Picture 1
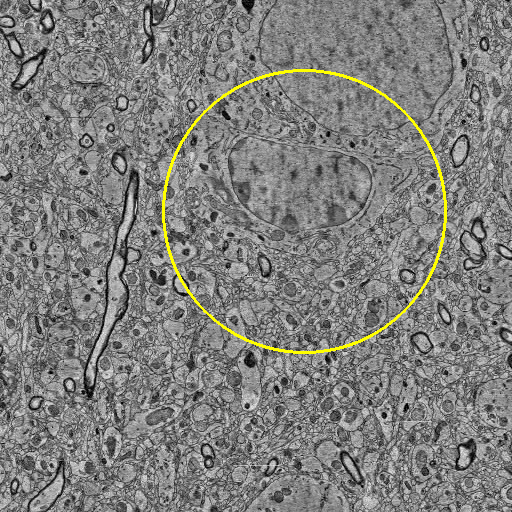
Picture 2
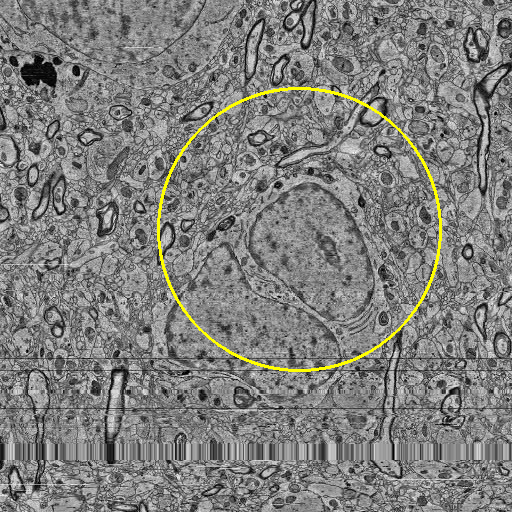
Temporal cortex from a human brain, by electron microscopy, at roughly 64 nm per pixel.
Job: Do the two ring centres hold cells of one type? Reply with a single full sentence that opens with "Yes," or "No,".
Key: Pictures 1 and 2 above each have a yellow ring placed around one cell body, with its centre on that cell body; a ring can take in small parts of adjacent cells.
Yes, the cells at the two ring centres are of one single type.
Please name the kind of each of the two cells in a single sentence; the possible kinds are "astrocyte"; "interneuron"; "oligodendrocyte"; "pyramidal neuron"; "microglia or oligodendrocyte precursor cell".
Both the first and the second picture show a microglial cell or oligodendrocyte precursor cell in the ring.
